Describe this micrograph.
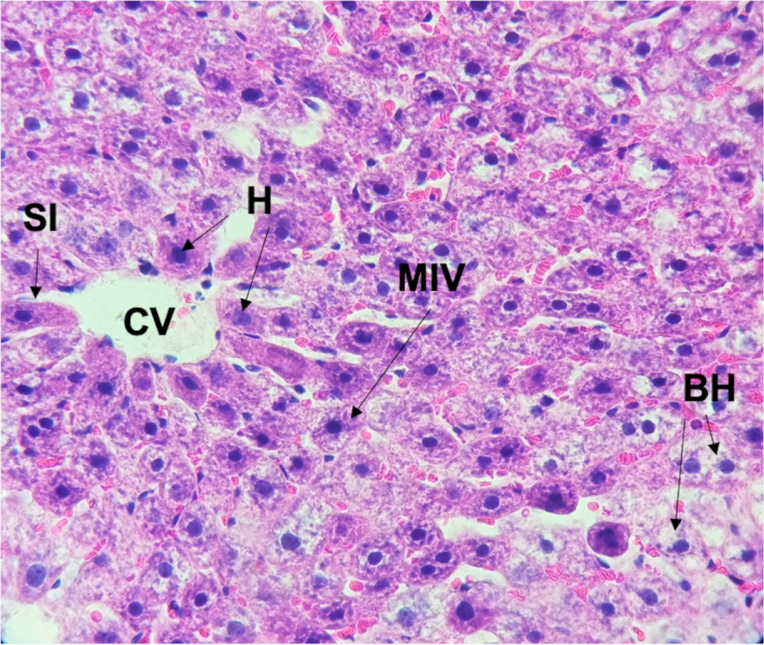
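This is liver tissue around a central vein, with large polygonal hepatocytes arranged in plates that radiate away from the vessel. Narrow sinusoids containing red blood cells run between the plates. Toward the lower right some hepatocytes look swollen with paler, cleared cytoplasm.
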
